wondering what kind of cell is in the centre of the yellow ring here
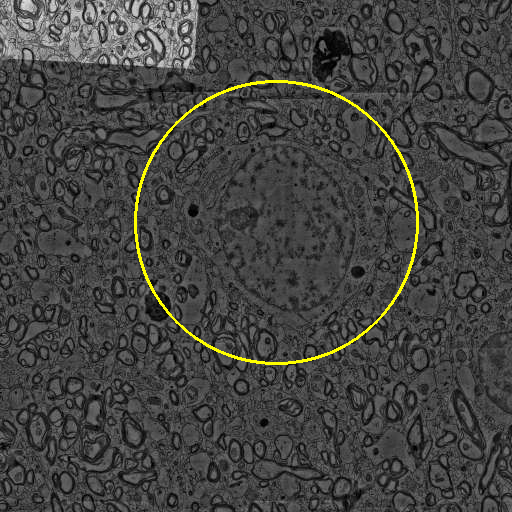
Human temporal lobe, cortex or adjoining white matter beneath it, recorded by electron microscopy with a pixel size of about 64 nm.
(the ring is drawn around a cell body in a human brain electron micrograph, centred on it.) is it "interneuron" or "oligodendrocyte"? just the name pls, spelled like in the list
interneuron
